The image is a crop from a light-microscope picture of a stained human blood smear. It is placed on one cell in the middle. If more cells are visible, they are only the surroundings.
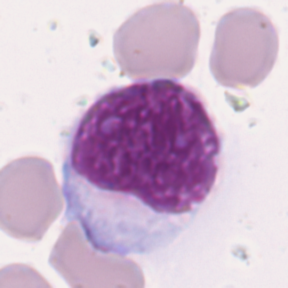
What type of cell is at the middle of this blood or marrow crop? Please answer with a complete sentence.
The crop's centre is taken up by a plasma cell.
